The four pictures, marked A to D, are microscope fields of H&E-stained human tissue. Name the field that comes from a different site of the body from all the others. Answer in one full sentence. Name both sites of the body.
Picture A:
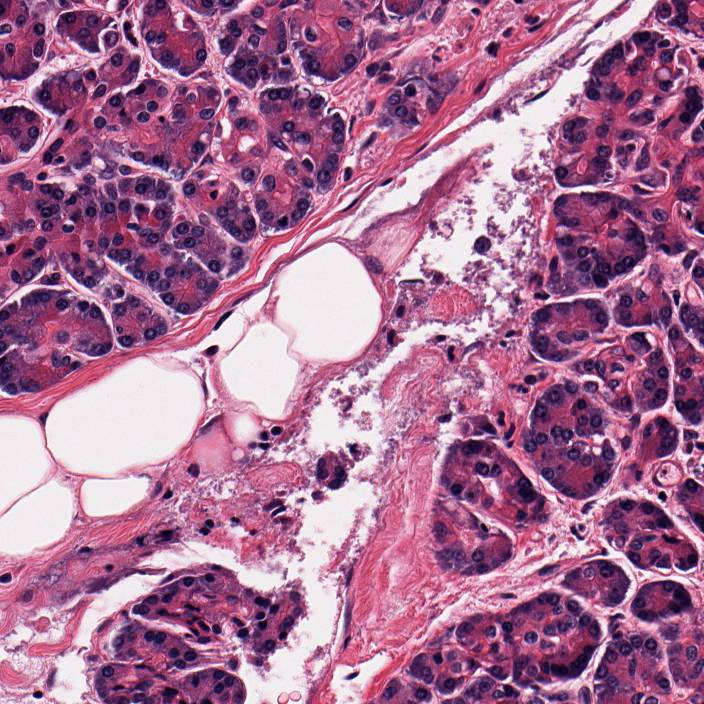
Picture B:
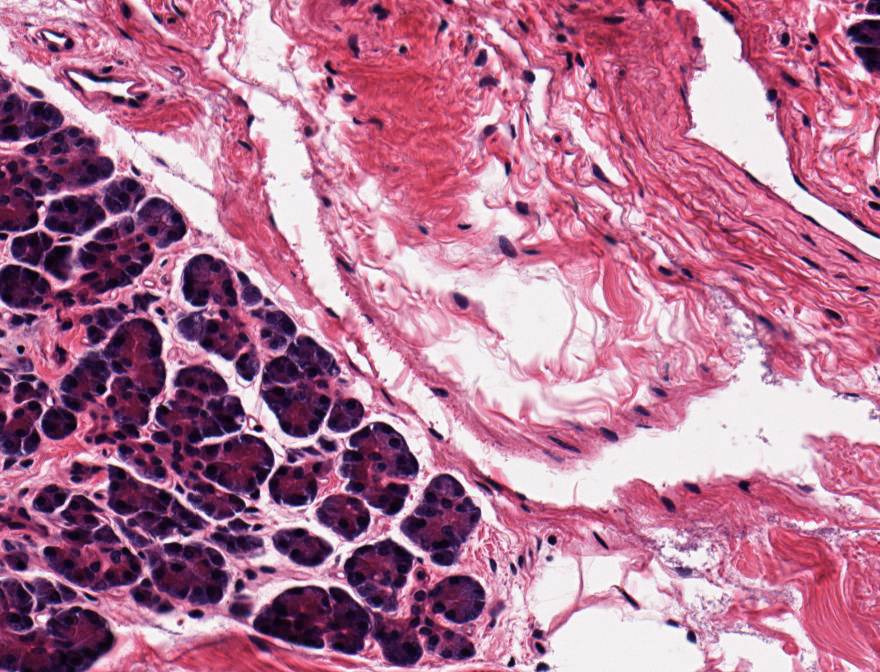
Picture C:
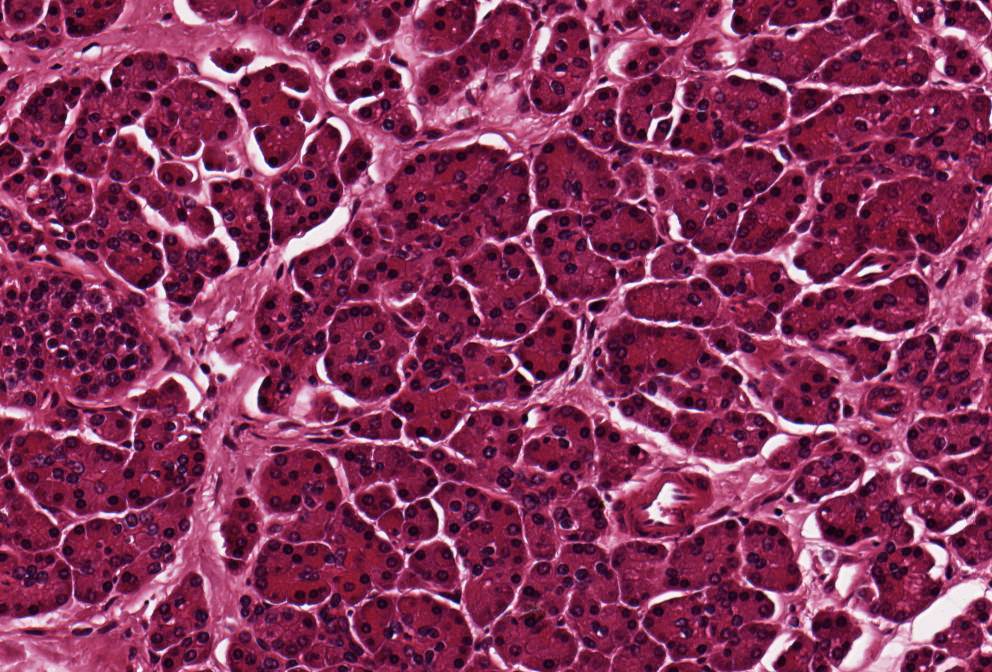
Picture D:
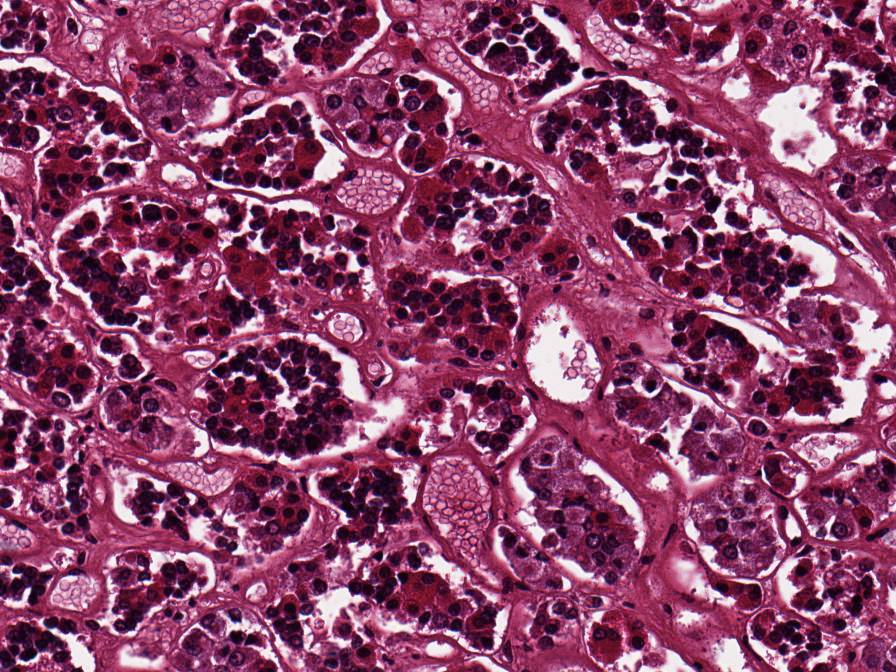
Picture D is the odd one out: it comes from the pituitary, while the others come from the pancreas.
